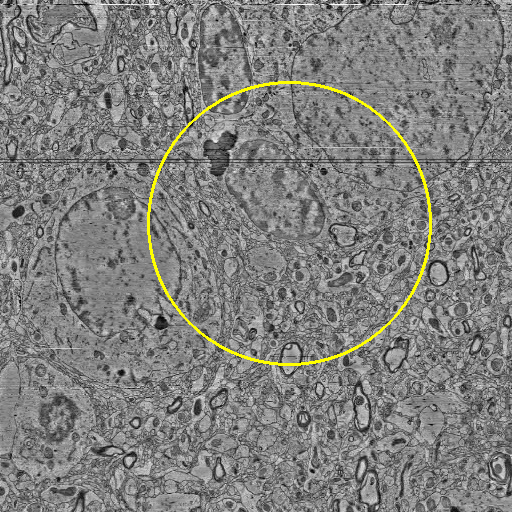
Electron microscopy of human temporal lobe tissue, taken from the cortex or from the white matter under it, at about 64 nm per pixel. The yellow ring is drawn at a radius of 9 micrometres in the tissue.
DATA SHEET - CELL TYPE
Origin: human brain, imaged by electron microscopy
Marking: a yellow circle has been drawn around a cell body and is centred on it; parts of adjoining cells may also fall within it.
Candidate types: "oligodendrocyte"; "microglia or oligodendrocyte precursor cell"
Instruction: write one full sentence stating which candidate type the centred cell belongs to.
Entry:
The cell body at the centre of the yellow ring in this micrograph belongs to an oligodendrocyte.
